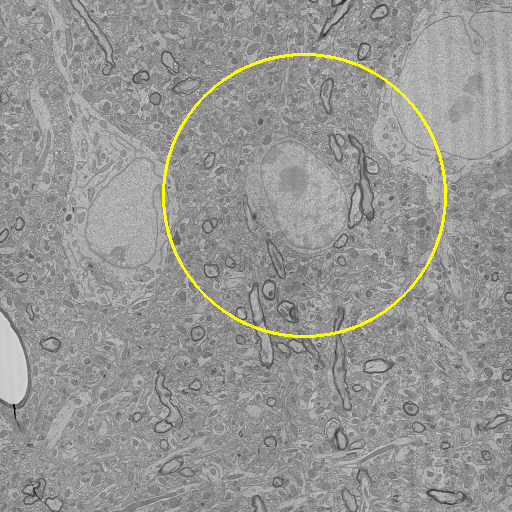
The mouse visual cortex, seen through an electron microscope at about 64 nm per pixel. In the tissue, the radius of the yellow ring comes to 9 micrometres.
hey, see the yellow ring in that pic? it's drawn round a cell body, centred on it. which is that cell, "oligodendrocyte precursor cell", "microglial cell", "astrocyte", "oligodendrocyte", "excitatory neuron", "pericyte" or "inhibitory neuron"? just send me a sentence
The cell in the ring is an oligodendrocyte.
